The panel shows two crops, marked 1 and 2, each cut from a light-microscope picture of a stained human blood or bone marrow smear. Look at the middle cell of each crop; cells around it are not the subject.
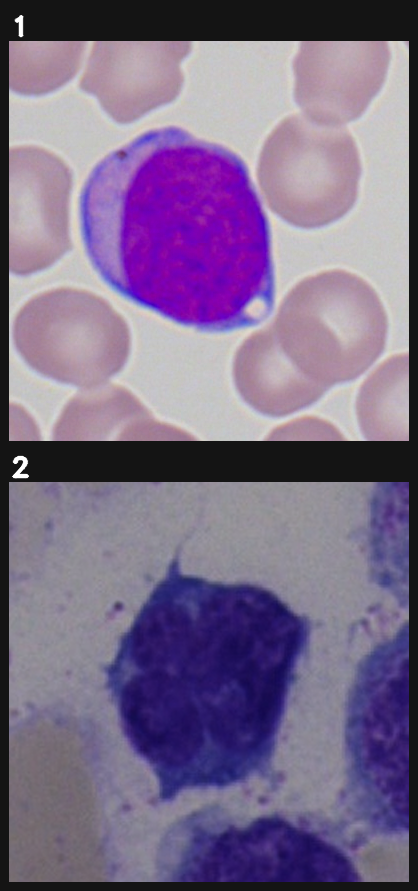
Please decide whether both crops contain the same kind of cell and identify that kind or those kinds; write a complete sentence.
Yes, the middle cells in both crops are indeed blasts.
